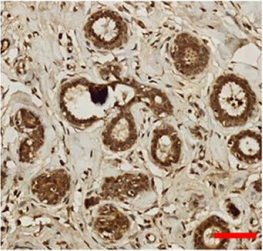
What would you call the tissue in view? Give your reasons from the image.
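The ducts are spaced apart within loose fibrous stroma. Orderly epithelial rings lining each lumen. So: Normal mammary gland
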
